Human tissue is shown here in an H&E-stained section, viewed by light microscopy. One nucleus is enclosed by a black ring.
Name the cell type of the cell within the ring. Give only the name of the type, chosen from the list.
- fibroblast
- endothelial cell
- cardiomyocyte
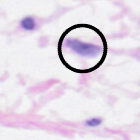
fibroblast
